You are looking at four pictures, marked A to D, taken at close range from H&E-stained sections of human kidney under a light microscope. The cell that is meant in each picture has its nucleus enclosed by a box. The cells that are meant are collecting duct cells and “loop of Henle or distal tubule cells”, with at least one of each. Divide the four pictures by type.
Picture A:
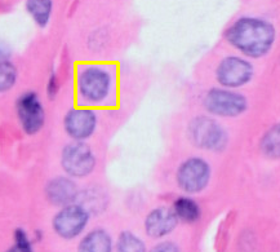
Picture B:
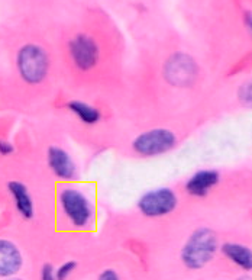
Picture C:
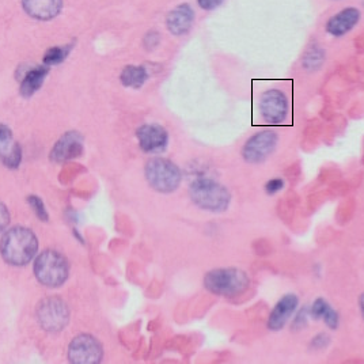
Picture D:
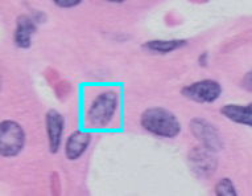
A: collecting duct cell
B: loop of Henle or distal tubule cell
C: loop of Henle or distal tubule cell
D: collecting duct cell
